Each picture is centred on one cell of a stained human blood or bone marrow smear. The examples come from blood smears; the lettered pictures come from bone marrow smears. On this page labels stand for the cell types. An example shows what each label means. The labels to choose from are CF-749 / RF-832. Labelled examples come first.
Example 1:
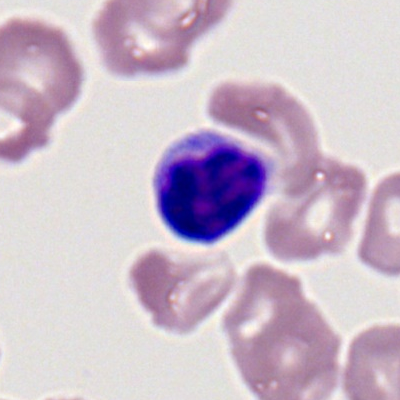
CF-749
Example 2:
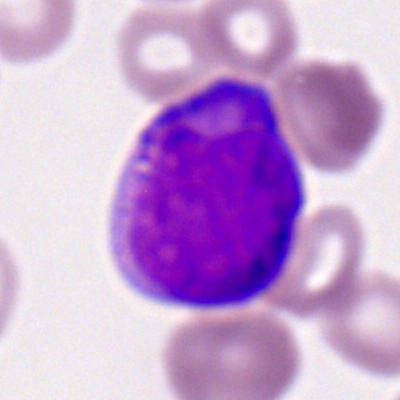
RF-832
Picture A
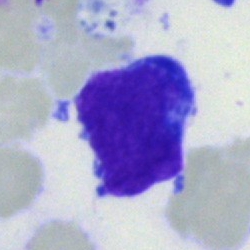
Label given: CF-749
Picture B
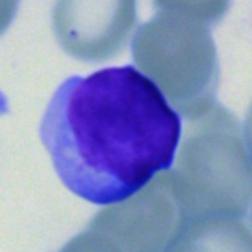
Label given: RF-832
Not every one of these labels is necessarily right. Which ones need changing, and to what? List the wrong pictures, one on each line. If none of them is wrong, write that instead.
A: RF-832, not CF-749
B: CF-749, not RF-832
